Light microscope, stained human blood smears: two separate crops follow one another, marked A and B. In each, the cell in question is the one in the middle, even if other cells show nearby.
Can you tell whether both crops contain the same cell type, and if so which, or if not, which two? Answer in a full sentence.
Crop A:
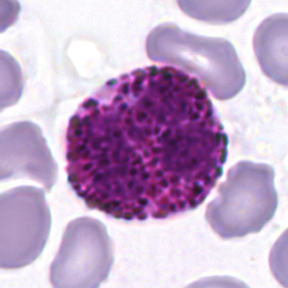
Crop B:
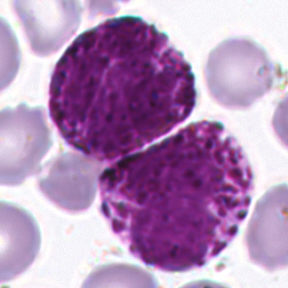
Yes, basophils are shown in both crops.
